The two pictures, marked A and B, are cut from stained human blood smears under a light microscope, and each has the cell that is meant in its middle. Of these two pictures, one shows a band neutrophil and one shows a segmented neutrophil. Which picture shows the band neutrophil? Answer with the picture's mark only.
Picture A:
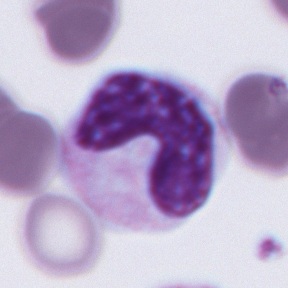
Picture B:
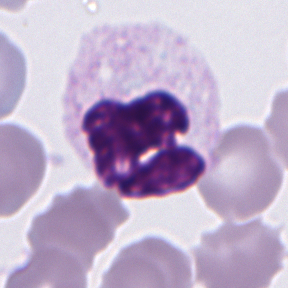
A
